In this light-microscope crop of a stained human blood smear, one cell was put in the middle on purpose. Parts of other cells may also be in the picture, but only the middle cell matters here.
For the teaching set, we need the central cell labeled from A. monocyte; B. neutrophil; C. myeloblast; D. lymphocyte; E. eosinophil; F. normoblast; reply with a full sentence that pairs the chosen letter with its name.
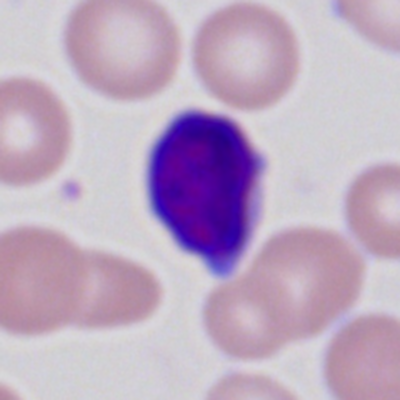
The cell in the middle is a lymphocyte, and so option D is correct.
